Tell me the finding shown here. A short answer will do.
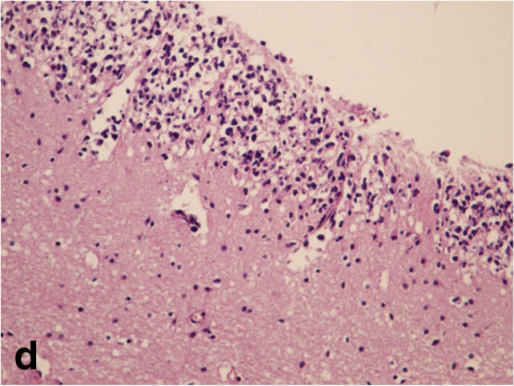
Tumor cells spreading.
